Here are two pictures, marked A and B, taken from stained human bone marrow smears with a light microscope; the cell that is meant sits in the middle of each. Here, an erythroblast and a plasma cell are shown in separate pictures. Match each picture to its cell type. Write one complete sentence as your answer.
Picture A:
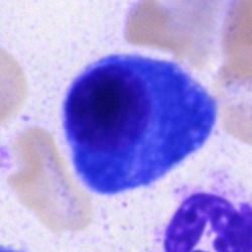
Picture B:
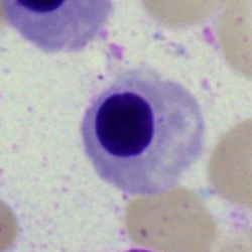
Picture B shows an erythroblast, while picture A shows a plasma cell.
